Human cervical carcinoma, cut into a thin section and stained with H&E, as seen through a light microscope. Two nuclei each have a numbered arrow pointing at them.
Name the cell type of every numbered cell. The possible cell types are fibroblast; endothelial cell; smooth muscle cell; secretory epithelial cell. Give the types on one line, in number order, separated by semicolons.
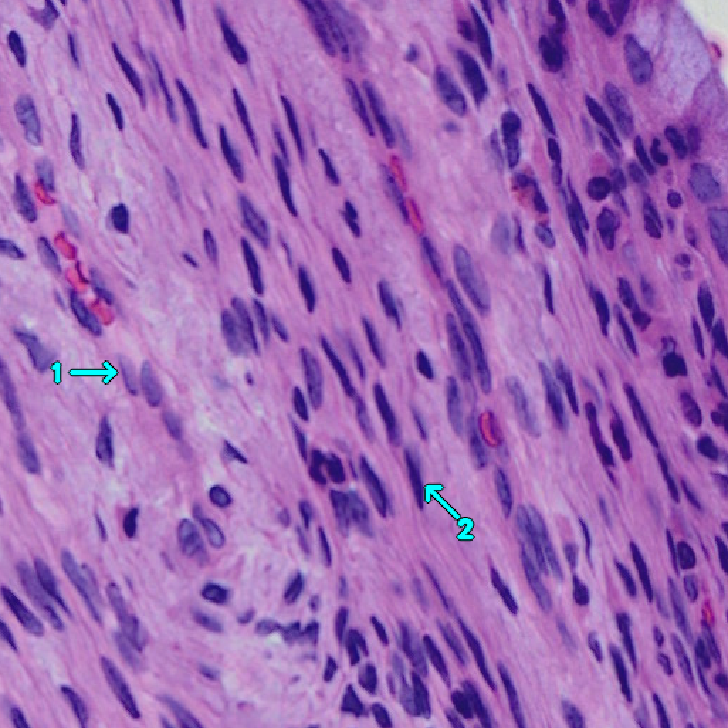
endothelial cell; fibroblast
